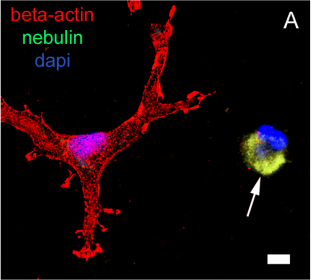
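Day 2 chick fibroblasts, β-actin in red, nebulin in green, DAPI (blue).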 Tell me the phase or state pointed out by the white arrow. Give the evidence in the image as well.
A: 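The arrow points to a small compact round cell without extensions. It lies beside a large cell with long branching red extensions.
Conclusion: round shape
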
